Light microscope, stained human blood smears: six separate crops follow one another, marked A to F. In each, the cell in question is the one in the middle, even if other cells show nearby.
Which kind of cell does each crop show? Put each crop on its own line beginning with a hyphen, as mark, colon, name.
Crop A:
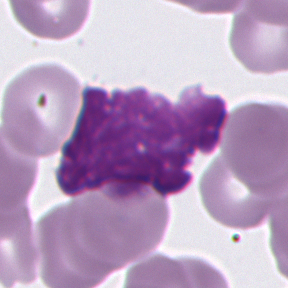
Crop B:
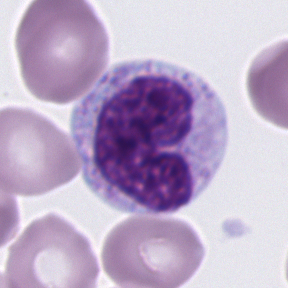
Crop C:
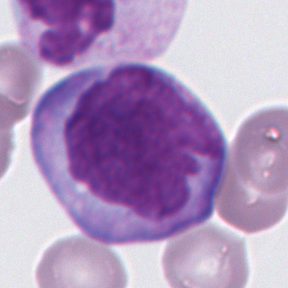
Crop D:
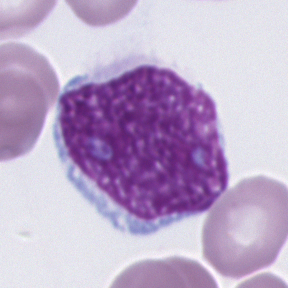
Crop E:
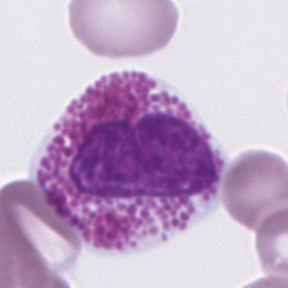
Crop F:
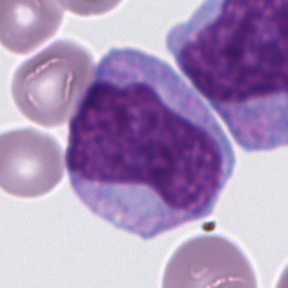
- A: smudge cell
- B: band neutrophil
- C: atypical promyelocyte
- D: myeloblast
- E: eosinophil
- F: atypical promyelocyte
